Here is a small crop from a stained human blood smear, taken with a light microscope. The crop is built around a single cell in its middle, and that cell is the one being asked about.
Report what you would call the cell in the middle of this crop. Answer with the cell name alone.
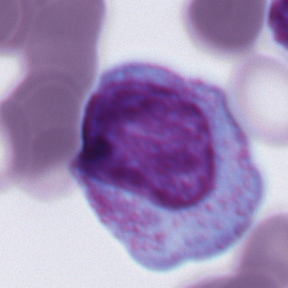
myelocyte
